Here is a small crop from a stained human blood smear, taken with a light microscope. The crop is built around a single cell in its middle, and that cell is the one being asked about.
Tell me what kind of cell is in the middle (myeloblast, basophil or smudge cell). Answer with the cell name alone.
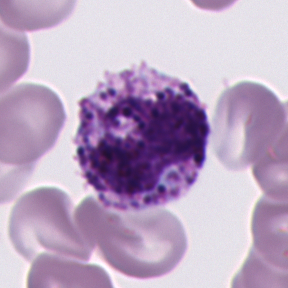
basophil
